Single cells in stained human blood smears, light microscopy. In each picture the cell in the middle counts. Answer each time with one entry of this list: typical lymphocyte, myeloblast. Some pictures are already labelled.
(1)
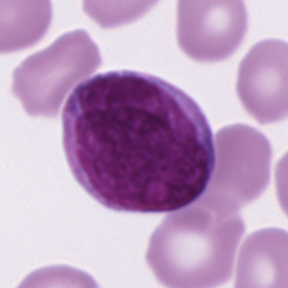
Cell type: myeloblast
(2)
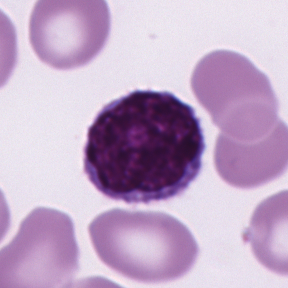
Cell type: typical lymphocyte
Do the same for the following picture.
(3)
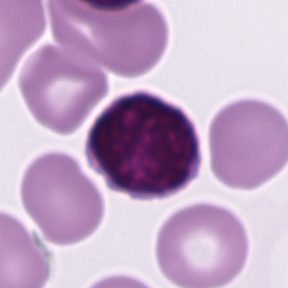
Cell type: typical lymphocyte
